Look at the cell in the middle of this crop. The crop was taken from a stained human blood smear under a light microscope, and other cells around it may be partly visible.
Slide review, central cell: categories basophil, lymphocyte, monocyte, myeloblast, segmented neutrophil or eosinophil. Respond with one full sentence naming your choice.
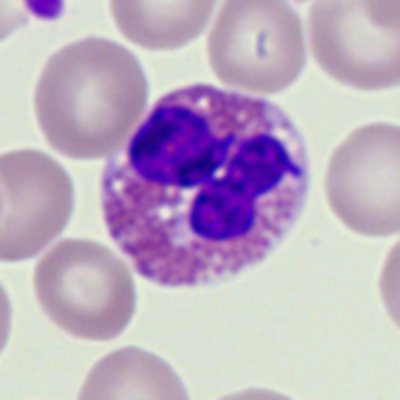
The crop shows an eosinophil in its centre.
